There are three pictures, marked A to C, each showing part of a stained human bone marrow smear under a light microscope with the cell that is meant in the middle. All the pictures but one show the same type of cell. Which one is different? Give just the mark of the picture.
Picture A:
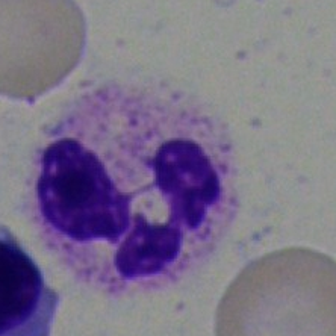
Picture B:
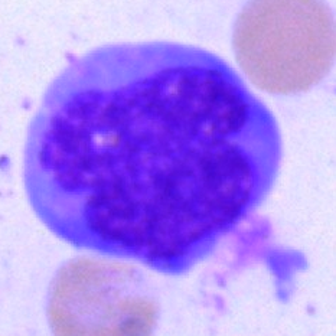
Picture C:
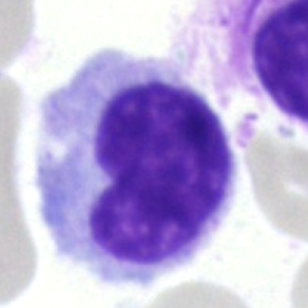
A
